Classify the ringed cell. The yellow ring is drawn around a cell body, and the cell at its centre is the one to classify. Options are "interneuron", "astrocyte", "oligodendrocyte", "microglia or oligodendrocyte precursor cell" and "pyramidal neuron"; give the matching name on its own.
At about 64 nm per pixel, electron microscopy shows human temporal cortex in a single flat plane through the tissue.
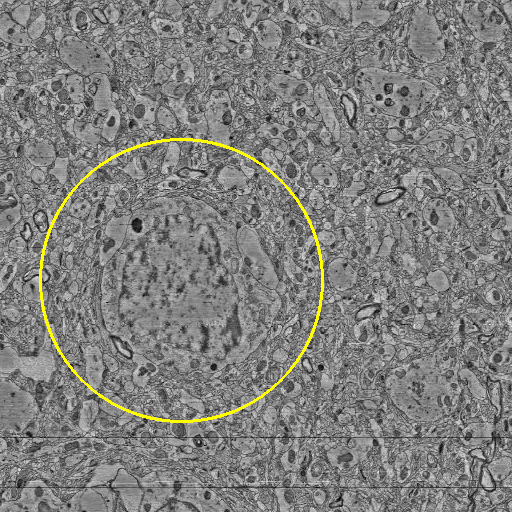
interneuron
